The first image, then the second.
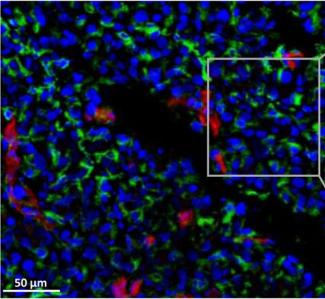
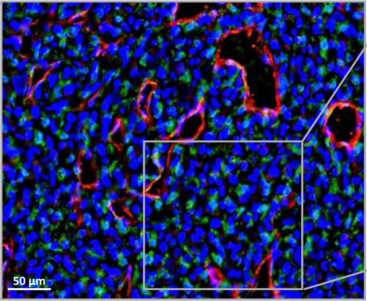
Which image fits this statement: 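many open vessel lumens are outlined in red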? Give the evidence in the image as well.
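Second image: several red-rimmed rings with dark open lumens lie among the cells. First image: only a few scattered red patches without clear open lumens.
Conclusion: the second image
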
